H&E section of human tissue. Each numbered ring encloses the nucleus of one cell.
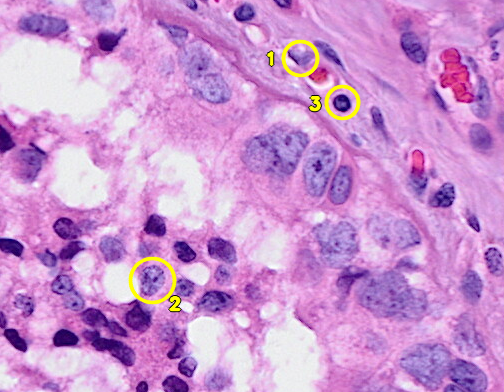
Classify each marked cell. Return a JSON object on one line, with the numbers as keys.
{"1": "fibroblast", "2": "macrophage, monocyte or dendritic cell", "3": "mast cell"}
